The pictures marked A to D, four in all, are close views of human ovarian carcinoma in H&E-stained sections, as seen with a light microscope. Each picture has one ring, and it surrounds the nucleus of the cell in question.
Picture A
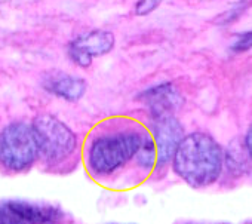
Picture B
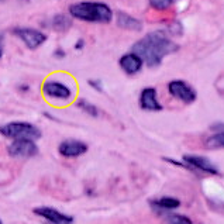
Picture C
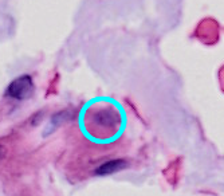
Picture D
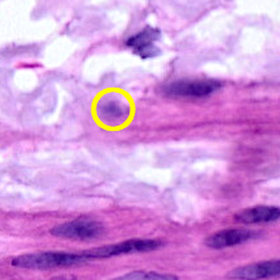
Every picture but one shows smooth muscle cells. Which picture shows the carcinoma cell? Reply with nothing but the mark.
A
